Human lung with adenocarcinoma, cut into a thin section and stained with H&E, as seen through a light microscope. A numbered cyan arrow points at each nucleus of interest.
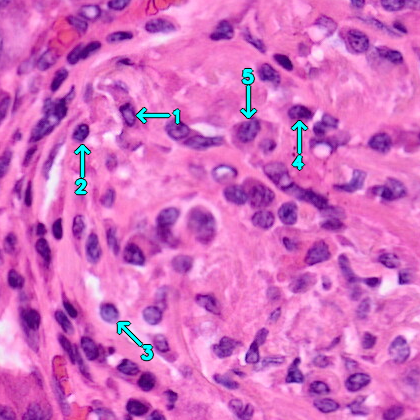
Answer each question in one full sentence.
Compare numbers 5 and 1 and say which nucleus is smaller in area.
Nucleus 1 covers less area, with nucleus 5 about 1.5 times as large.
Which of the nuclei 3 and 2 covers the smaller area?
Nucleus 2 covers less area, with nucleus 3 about 1.5 times as large.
